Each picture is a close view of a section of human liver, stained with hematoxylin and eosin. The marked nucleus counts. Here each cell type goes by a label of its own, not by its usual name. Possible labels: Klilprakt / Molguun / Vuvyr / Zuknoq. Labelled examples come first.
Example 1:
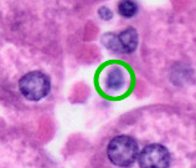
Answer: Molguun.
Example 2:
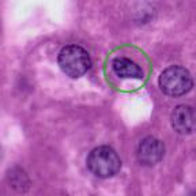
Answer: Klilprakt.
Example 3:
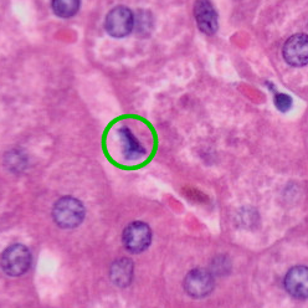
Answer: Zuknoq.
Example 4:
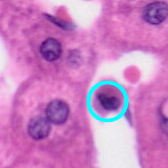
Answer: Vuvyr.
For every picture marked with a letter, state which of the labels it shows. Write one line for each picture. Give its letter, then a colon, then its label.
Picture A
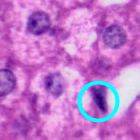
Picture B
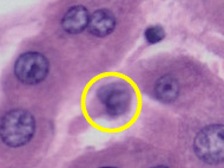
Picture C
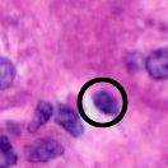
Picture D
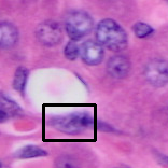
A: Zuknoq.
B: Vuvyr.
C: Molguun.
D: Klilprakt.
